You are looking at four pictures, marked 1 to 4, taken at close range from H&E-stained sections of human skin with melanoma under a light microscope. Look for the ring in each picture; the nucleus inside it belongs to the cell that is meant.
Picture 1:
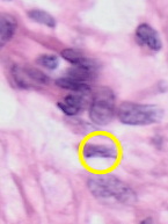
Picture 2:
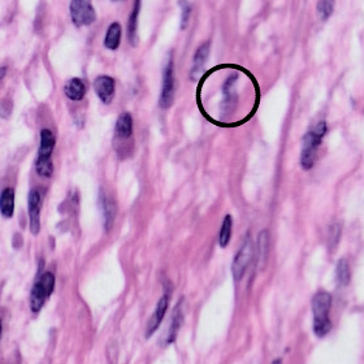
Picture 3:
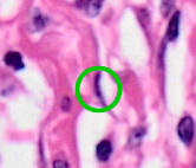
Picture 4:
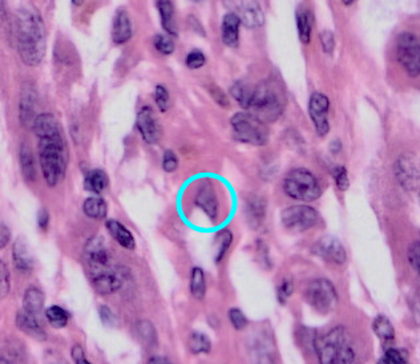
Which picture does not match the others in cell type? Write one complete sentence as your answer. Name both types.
The different one is picture 4; it shows an endothelial cell, whereas all the others show “fibroblasts or myofibroblasts”.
